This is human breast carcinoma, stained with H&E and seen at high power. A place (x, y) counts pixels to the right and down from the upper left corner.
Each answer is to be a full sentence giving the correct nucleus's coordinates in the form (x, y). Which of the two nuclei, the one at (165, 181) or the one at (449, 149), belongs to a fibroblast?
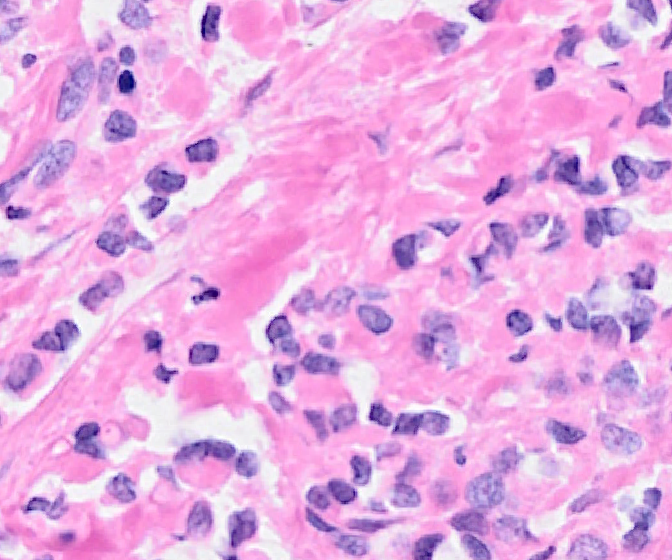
The nucleus at (449, 149) is the member of the pair belonging to a fibroblast.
